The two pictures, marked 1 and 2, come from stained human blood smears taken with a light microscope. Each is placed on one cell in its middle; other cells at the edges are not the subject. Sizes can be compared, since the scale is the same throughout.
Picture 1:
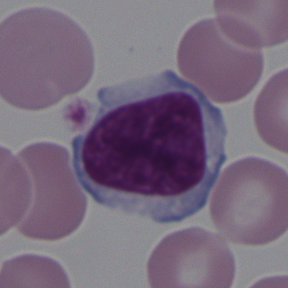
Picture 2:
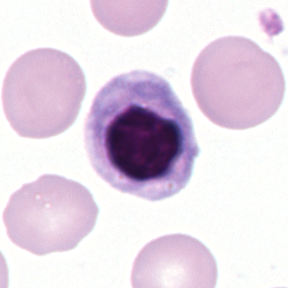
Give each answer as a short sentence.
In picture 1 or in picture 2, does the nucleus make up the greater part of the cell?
The nucleus fills more of the cell in picture 1 than in picture 2.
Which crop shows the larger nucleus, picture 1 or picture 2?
The nucleus in picture 1 is larger, with about 2.5 times the area of the one in picture 2.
